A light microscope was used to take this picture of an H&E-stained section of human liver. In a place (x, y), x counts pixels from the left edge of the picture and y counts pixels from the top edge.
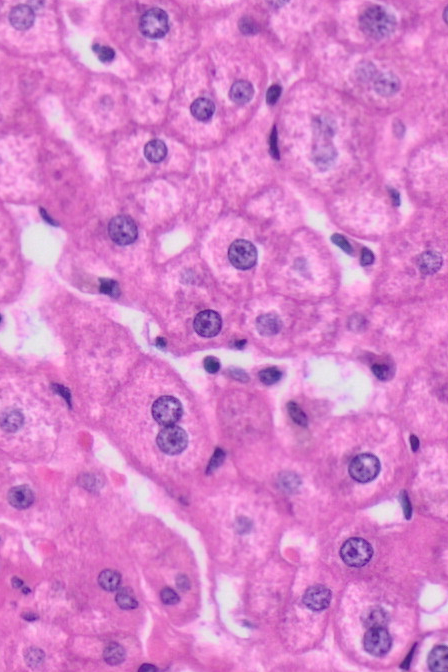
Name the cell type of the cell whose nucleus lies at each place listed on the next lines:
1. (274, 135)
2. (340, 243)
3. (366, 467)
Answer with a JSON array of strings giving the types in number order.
["fibroblast or stellate cell", "lymphocyte", "hepatocyte"]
